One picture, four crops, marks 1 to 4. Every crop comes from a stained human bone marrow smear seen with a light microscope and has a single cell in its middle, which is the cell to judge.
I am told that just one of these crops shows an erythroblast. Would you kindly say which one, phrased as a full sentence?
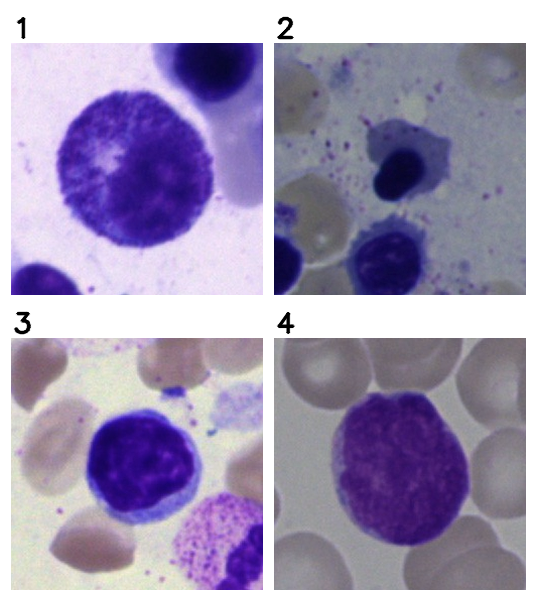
The crop bearing an erythroblast is crop 2.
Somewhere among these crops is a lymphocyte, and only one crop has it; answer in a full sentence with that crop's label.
The crop marked 3 is the one that shows a lymphocyte.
